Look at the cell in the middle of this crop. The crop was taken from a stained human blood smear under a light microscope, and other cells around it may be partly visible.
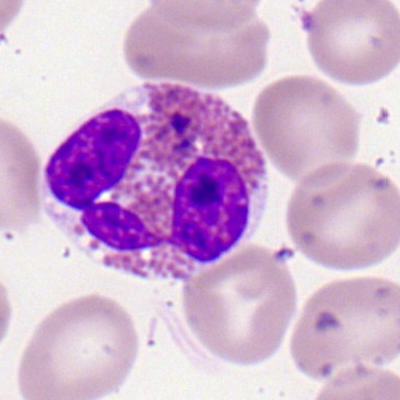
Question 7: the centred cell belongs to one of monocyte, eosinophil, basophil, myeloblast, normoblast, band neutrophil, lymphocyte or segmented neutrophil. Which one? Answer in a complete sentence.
In the central position of this crop, the cell is an eosinophil.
